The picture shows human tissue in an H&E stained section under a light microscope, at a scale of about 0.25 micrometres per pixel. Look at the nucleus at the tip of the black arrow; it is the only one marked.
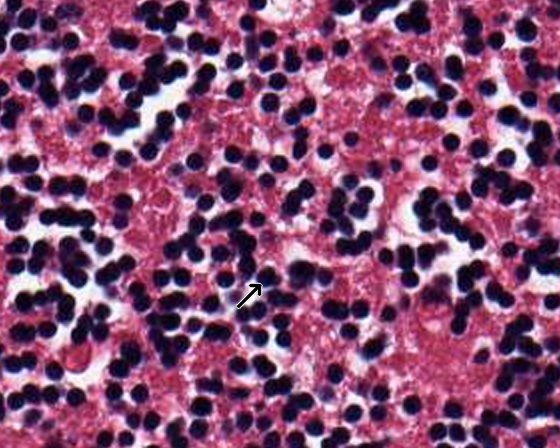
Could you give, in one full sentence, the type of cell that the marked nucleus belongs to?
In the section shown, the marked nucleus belongs to a cerebellar granule cell.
